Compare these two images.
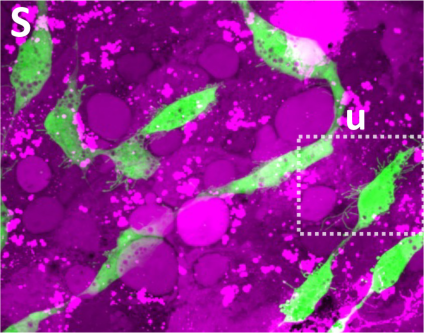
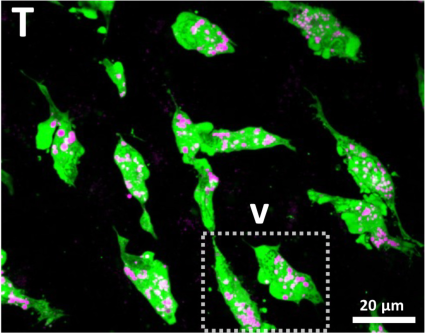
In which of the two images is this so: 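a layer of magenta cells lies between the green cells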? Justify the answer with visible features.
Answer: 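The first image. Second image: green cells sit on a black background with no magenta layer around them. First image: magenta fills the field around and between the green cells.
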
